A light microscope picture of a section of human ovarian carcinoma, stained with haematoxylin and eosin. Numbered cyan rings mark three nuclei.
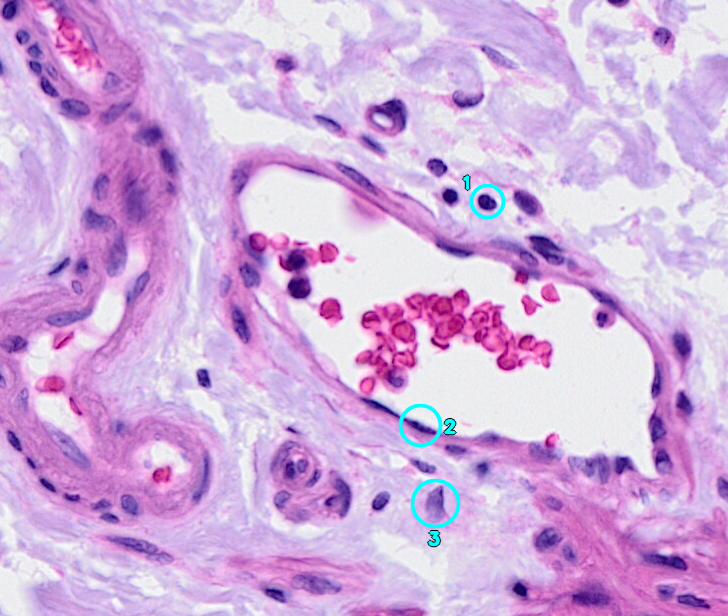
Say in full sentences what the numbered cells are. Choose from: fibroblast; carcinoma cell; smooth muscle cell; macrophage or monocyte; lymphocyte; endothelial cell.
Cell 1 is a lymphocyte, cell 2 is an endothelial cell and cell 3 is a fibroblast.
